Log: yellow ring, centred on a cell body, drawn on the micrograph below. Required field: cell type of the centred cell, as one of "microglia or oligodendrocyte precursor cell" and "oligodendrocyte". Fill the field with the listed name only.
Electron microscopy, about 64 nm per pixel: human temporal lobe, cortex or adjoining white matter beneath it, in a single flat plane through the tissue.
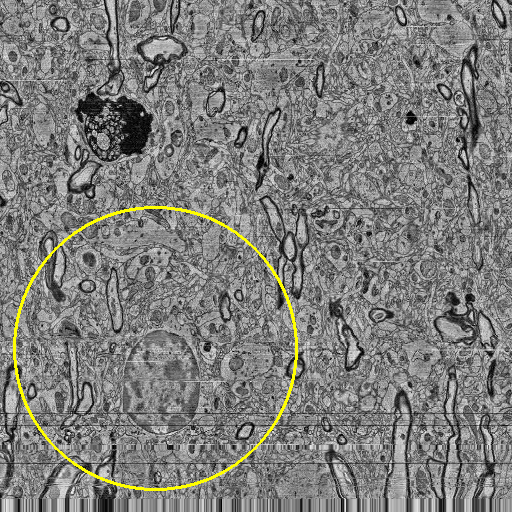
microglia or oligodendrocyte precursor cell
